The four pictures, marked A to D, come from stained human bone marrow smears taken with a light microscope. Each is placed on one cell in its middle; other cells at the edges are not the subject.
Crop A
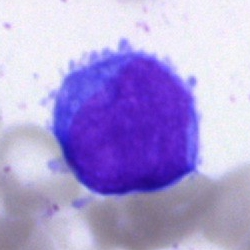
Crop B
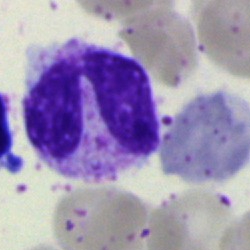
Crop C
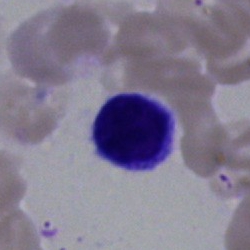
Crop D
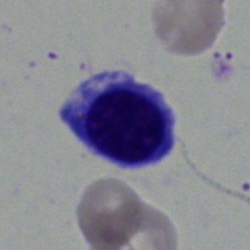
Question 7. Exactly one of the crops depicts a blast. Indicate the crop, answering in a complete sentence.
Here the crop that shows a blast is crop A.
